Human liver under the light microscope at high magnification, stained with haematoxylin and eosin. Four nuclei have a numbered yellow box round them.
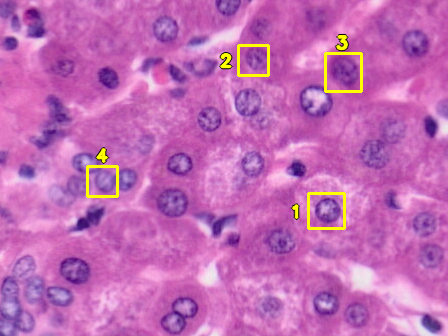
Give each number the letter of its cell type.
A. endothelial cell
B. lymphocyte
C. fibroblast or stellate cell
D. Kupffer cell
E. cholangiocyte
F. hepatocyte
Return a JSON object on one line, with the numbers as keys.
{"1": "F", "2": "F", "3": "F", "4": "E"}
